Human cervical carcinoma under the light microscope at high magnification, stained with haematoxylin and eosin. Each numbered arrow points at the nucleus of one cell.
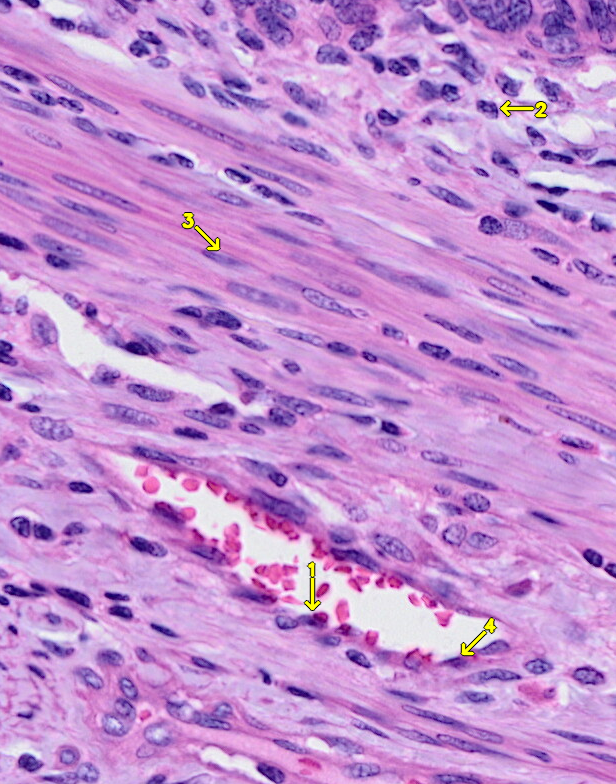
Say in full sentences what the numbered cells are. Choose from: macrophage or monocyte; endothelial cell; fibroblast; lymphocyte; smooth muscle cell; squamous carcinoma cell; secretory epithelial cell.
Cell 1 is an endothelial cell, cell 2 is a lymphocyte, cell 3 is a smooth muscle cell and cell 4 is an endothelial cell.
